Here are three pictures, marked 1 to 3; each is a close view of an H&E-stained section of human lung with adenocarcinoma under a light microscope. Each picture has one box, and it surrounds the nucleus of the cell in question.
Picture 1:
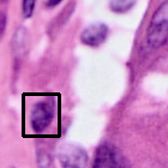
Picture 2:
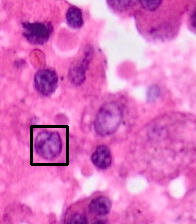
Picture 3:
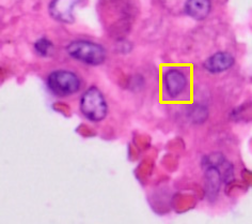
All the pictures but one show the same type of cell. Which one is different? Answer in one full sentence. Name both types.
All pictures except 1 show “macrophages or monocytes”; picture 1 shows a plasma cell.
